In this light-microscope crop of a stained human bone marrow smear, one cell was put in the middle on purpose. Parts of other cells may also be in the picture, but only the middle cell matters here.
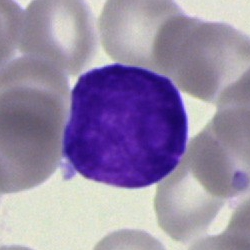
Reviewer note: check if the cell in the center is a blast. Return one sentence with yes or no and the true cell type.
Yes, the cell found in the middle is a blast.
